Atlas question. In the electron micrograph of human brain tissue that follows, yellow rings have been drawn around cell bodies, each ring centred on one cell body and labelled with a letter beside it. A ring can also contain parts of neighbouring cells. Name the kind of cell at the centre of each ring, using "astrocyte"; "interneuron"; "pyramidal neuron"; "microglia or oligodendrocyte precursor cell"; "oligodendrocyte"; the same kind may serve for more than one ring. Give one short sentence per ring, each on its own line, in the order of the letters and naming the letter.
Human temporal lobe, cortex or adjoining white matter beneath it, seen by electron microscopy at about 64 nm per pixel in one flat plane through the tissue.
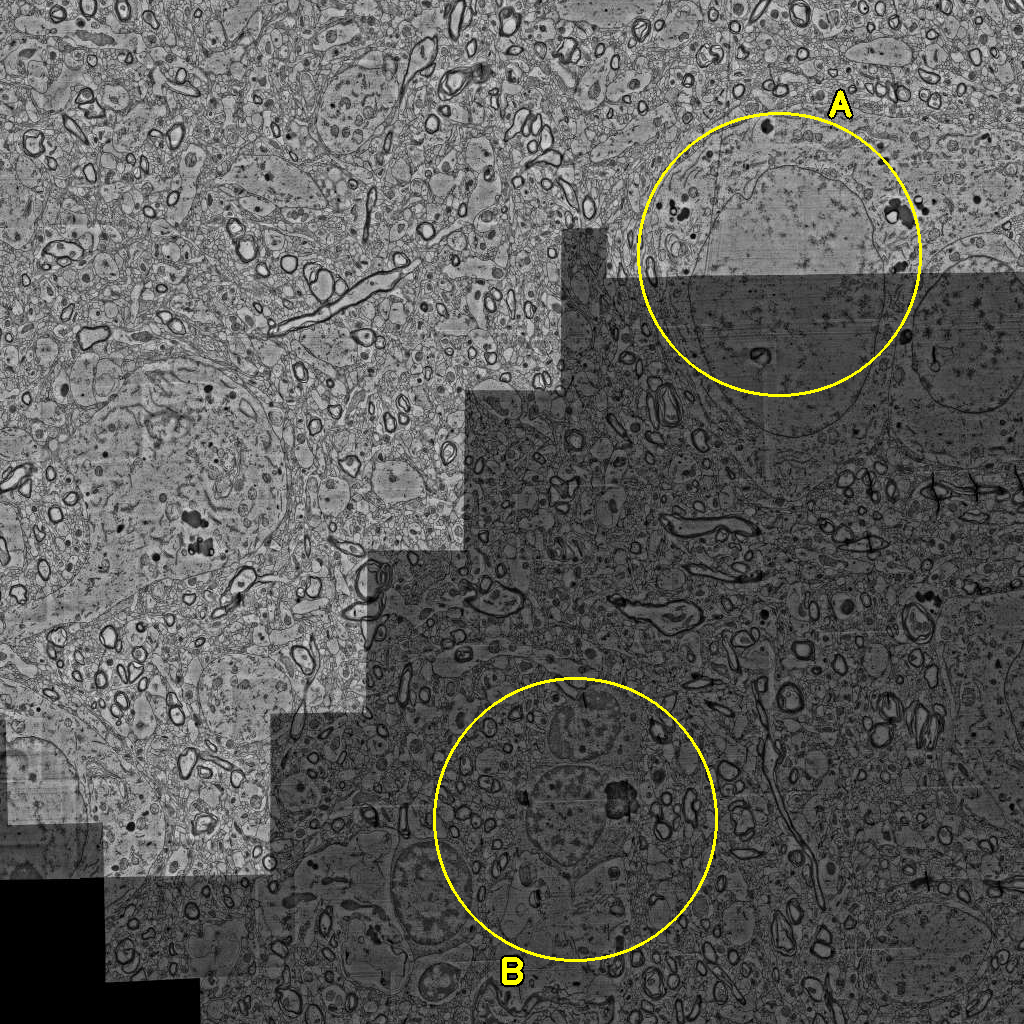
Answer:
For ring A, the cell at the centre is a pyramidal neuron.
For ring B, the cell at the centre is an oligodendrocyte.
